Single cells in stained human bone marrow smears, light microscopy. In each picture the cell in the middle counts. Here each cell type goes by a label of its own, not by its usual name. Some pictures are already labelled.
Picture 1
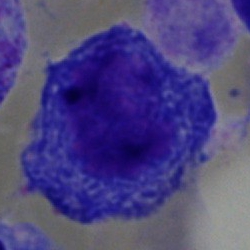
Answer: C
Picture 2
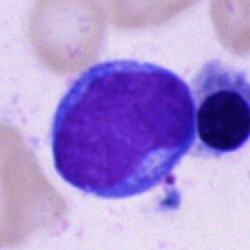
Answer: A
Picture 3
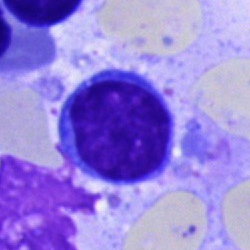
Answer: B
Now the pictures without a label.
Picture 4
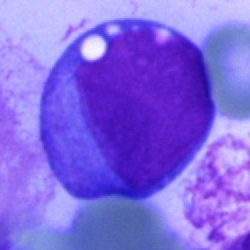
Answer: A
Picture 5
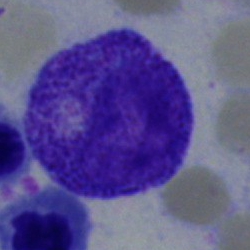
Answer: C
